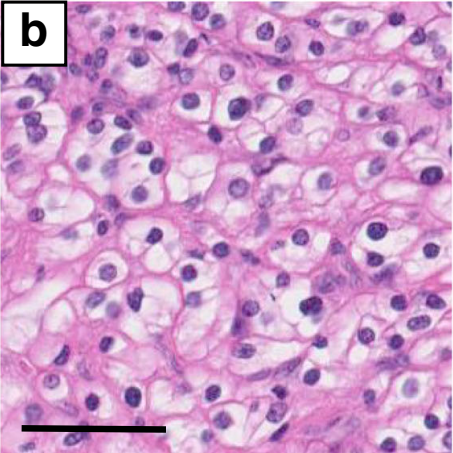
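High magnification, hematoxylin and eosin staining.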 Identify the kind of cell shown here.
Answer: Clear cell renal cell carcinoma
